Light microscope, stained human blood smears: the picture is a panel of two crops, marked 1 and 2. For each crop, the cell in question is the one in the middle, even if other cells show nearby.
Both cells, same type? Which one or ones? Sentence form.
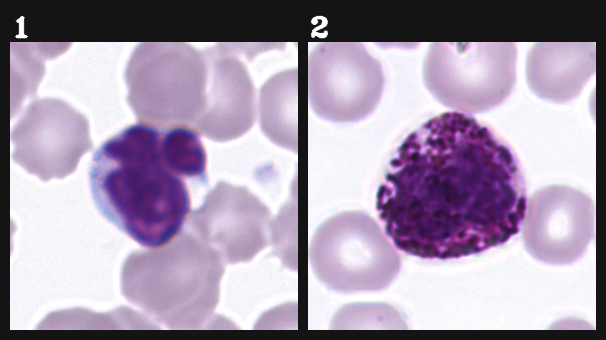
No, a lymphocyte is what occupies crop 1, and a basophil is what occupies crop 2.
